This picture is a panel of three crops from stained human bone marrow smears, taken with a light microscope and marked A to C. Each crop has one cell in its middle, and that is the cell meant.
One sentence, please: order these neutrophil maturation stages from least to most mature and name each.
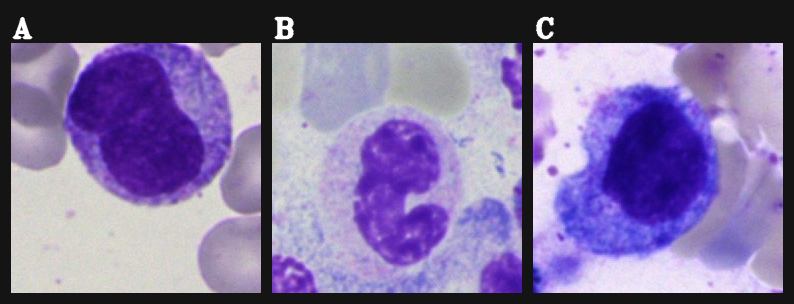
The maturation order, from least to most mature, is crop C (a promyelocyte), crop A (a metamyelocyte) and crop B (a band neutrophil).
